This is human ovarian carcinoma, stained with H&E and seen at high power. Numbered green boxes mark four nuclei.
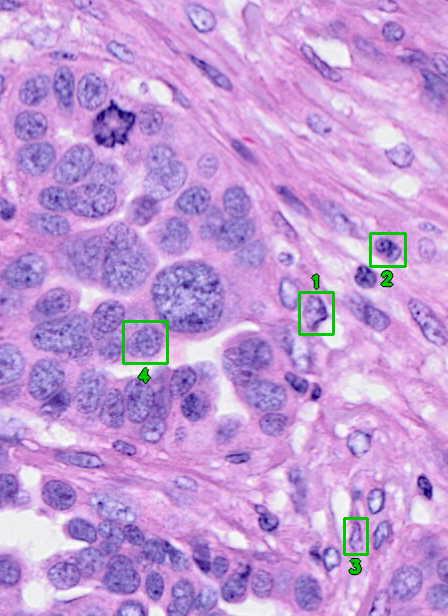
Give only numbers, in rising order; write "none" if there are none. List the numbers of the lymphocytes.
2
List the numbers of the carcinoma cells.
4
